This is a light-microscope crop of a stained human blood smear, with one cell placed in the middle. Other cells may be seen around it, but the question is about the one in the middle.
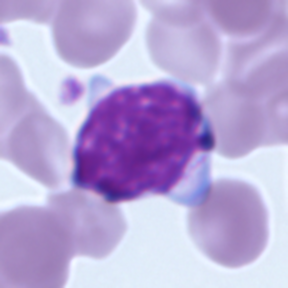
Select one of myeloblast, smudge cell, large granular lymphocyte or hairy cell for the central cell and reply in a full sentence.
The cell in the middle of the field of view is a large granular lymphocyte.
